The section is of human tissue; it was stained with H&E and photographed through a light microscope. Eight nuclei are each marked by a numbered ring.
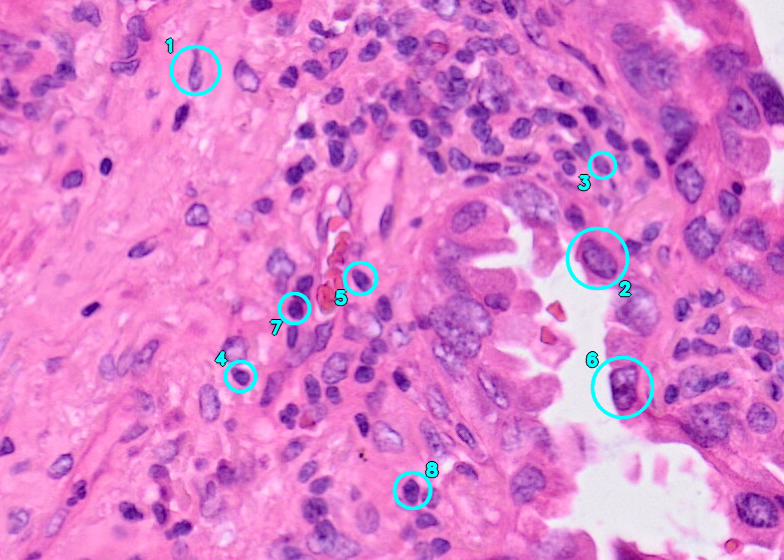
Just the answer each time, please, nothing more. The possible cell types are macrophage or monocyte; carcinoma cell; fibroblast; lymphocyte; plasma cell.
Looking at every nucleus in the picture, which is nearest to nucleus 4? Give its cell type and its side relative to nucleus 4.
a fibroblast; above nucleus 4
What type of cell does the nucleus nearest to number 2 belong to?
lymphocyte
